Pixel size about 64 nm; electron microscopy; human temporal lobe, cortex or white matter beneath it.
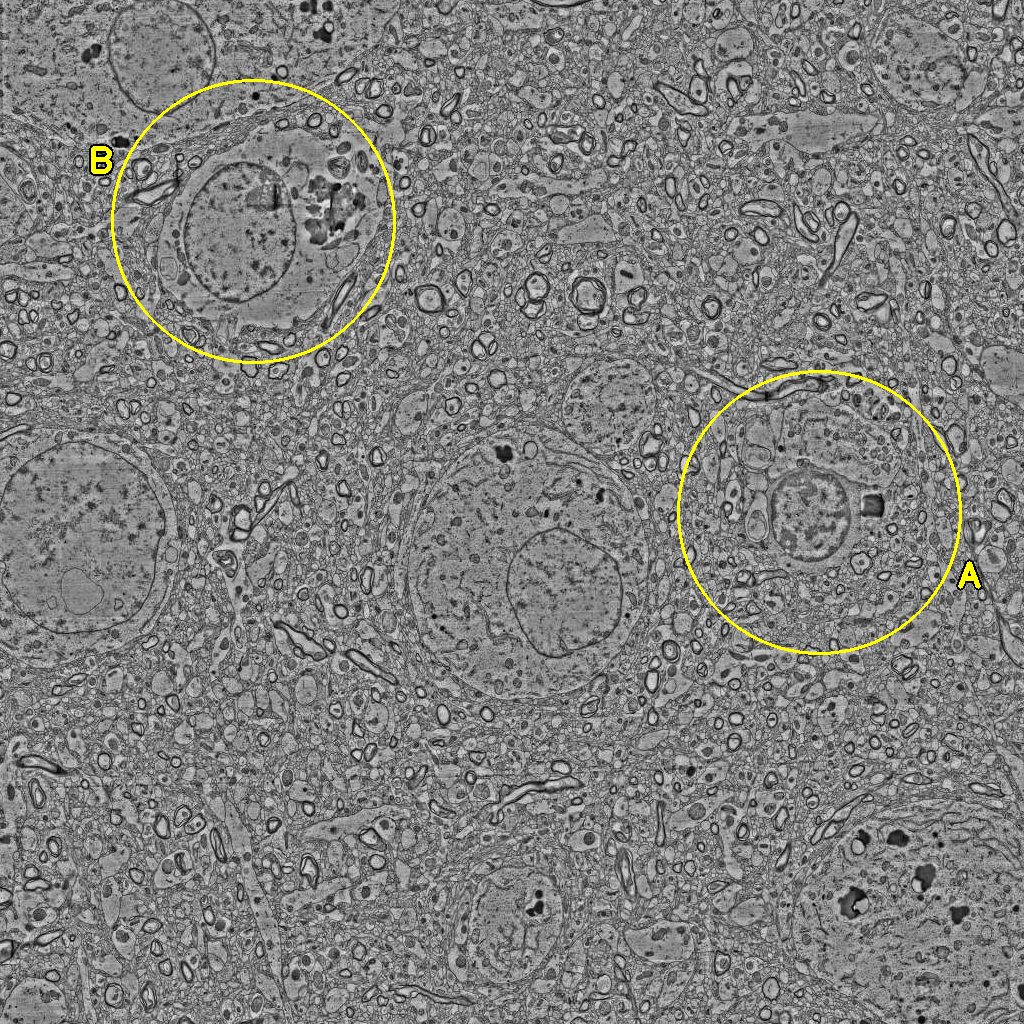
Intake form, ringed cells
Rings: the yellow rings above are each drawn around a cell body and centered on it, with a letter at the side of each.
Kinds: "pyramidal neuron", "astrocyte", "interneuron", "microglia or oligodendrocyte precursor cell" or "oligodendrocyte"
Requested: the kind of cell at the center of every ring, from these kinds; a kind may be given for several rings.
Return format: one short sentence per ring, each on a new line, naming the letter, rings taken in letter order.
In the center of ring A there is an oligodendrocyte.
In the center of ring B there is an astrocyte.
